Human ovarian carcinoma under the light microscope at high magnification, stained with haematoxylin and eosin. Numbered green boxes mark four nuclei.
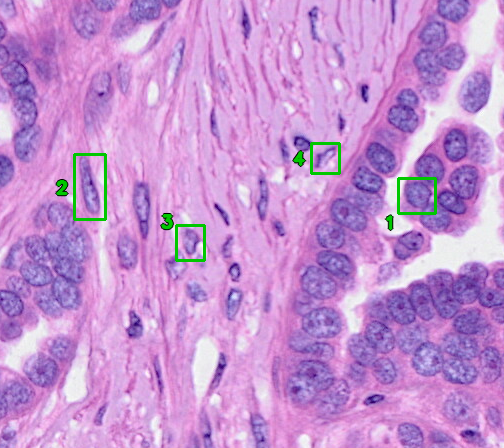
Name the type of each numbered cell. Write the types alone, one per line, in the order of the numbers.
carcinoma cell
fibroblast
fibroblast
fibroblast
